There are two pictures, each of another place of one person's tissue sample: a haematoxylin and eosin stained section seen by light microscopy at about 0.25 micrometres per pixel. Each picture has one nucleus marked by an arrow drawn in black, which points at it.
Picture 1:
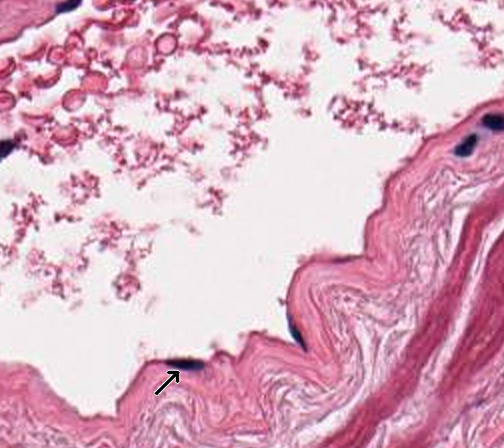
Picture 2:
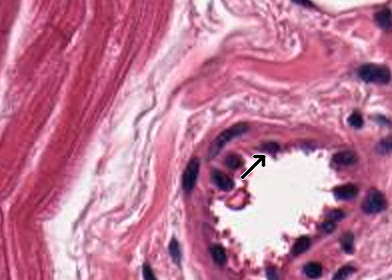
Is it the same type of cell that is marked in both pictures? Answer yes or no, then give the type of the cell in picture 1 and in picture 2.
Yes, both are endothelial cells.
